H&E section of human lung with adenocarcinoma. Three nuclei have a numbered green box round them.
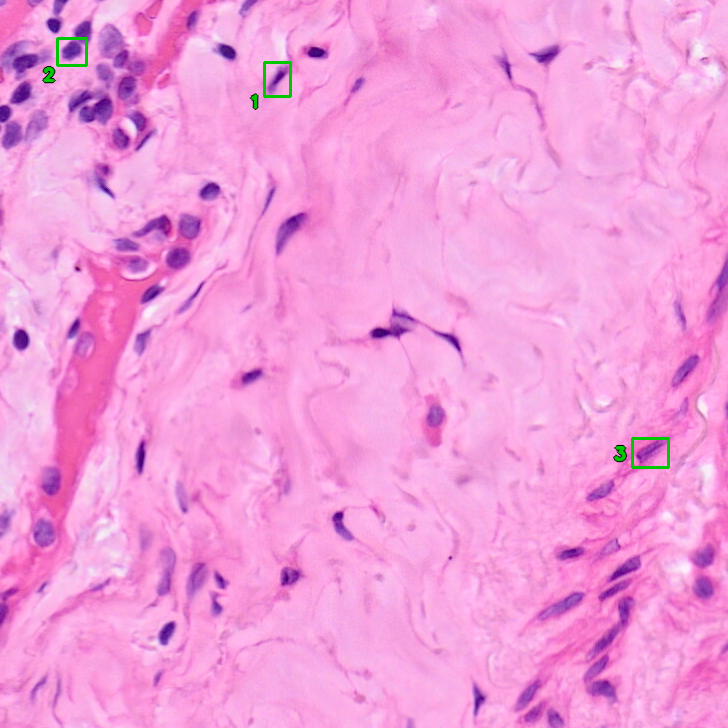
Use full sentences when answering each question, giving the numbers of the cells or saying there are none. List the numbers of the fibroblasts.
Only cell 1 qualifies as a fibroblast among the numbered cells.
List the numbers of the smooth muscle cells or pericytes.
Only at number 3 is there a smooth muscle cell or pericyte among the marked cells.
